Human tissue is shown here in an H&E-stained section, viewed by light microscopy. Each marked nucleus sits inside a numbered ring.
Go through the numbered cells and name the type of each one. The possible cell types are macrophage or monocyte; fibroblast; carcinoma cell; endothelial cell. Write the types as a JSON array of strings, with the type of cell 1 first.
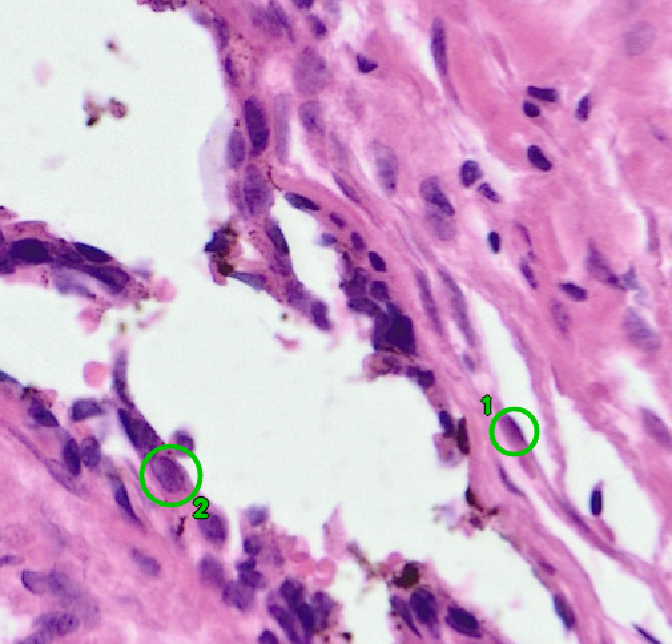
["fibroblast", "carcinoma cell"]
